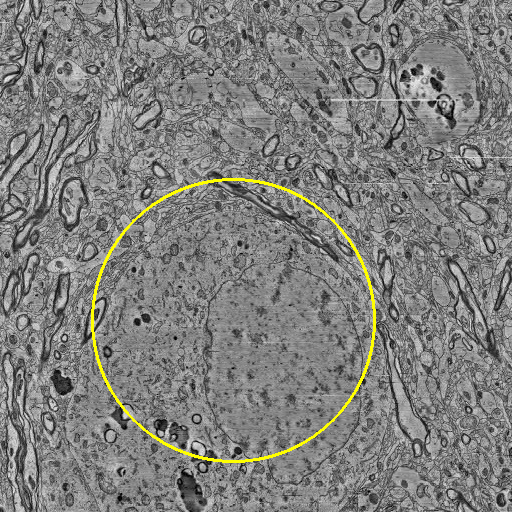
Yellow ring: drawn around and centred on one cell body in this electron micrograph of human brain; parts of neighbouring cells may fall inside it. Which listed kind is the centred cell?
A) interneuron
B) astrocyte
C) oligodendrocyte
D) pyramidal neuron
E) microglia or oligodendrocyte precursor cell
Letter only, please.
D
